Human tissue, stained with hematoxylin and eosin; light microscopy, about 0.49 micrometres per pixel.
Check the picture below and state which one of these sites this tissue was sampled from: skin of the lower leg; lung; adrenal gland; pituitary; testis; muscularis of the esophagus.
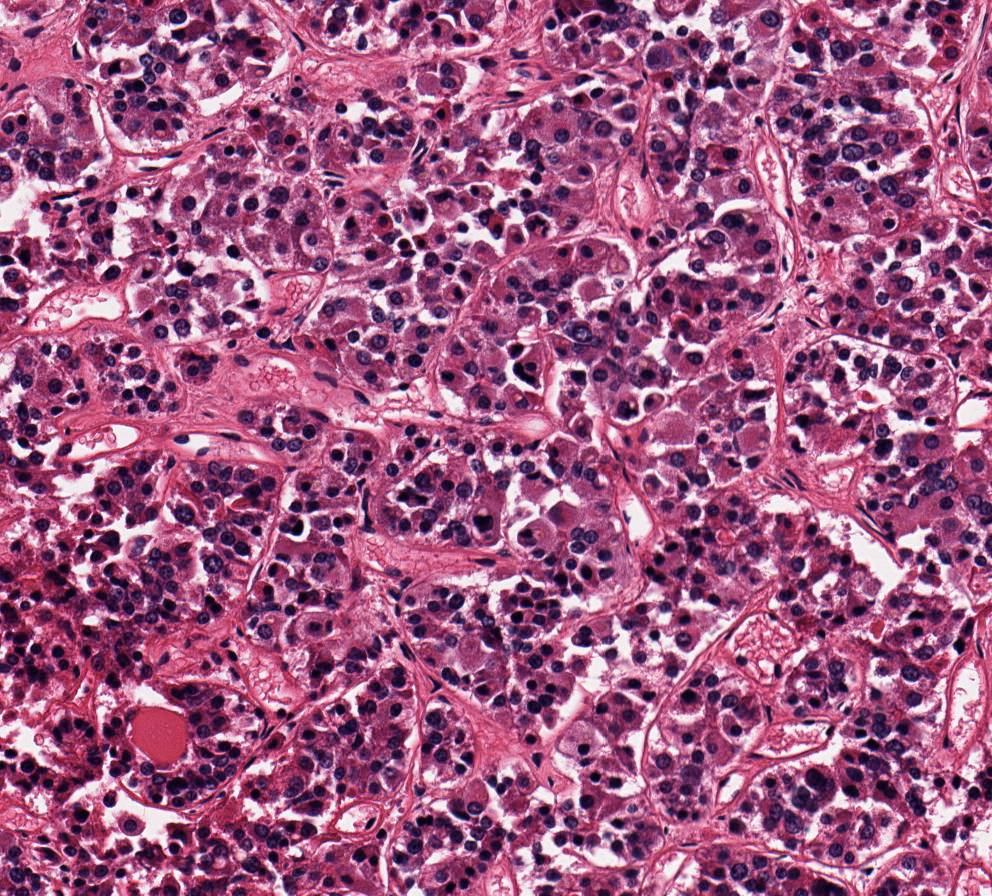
pituitary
